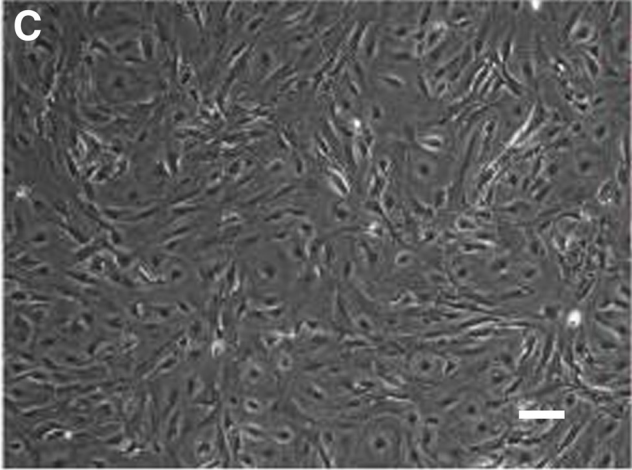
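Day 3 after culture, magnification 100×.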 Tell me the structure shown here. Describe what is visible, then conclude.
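A continuous single sheet of flattened cells covers the whole field. Cells lie edge to edge with no gaps between them. Each flat cell has a darker oval nucleus.
Hence: monolayer.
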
